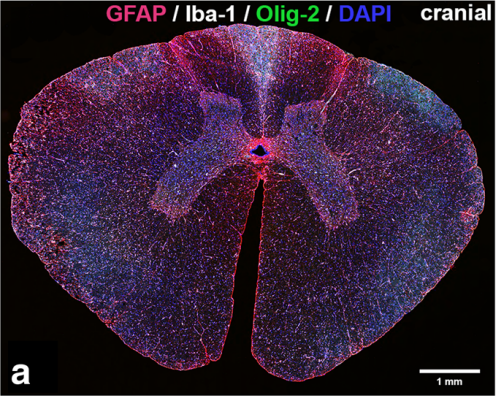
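A whole cross section of the spinal cord shows the central butterfly-shaped gray matter surrounded by white matter that is densely dotted with nuclei. Red staining is strongest along the outer surface of the cord and around the small central canal. A deep ventral midline fissure divides the lower half of the section.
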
